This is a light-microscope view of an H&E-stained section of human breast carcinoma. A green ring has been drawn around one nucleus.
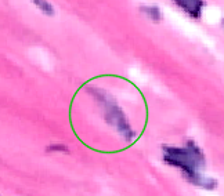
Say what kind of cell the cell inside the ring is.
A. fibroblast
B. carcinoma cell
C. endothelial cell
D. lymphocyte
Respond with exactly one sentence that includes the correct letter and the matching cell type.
Option A, which has the cell inside the ring as a fibroblast, is the correct choice.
